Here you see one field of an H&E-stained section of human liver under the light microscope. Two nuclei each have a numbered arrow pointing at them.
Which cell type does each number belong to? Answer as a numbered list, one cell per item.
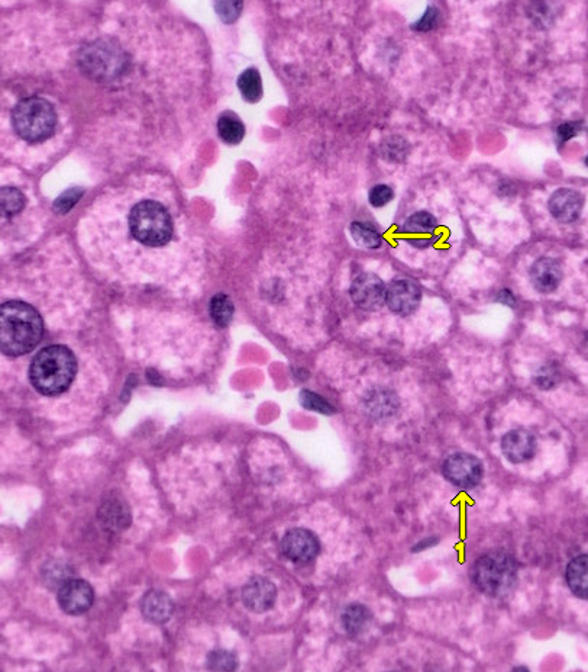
1. hepatocyte
2. Kupffer cell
